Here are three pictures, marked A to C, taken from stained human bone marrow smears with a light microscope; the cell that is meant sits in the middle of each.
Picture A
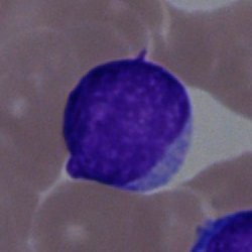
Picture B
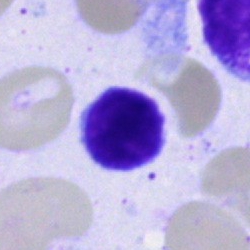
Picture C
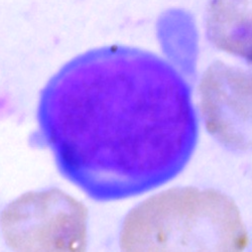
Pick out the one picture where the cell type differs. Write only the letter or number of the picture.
B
